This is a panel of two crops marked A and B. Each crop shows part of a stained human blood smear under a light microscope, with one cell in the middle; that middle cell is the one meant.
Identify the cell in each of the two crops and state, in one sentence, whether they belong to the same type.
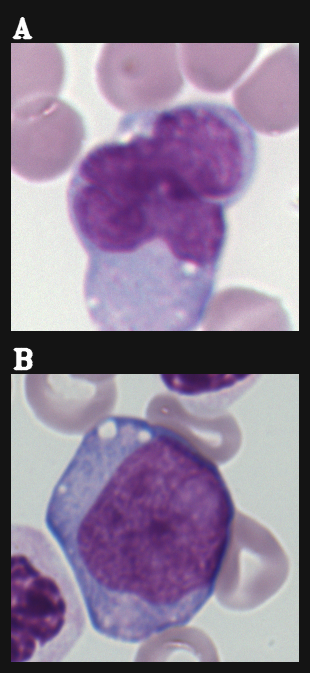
No, a monocyte is depicted by crop A, a promyelocyte by crop B.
